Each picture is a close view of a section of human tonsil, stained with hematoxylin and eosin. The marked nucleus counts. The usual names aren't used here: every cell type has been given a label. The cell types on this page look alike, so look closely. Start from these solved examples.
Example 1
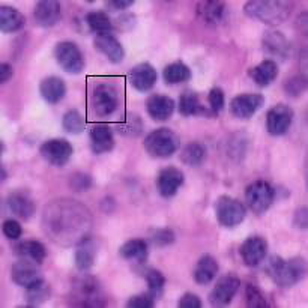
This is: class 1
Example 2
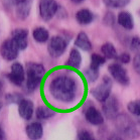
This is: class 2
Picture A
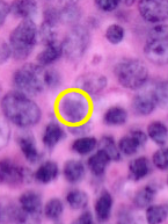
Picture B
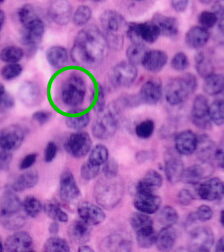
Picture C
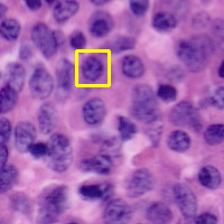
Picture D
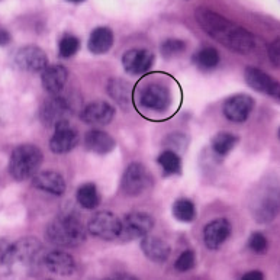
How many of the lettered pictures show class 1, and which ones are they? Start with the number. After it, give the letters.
2: C, D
